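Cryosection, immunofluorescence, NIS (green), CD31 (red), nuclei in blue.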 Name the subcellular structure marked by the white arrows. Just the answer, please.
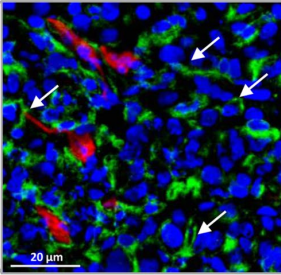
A: cellular membrane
